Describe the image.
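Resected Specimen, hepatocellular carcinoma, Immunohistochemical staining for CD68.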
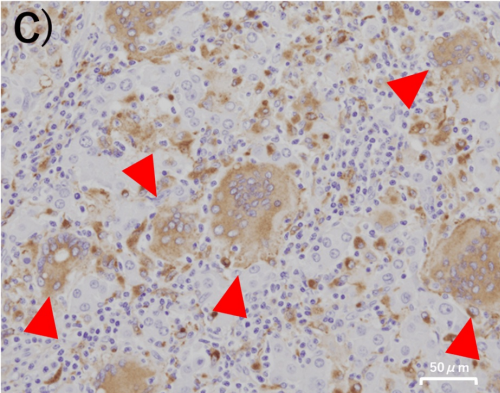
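This tumour section shows osteoclast-like giant cells stained brown among unstained tumour cells. The giant cells are large and rounded, with brown cytoplasm and many small blue nuclei packed within each. Smaller single-nucleated brown cells are scattered between them, while the surrounding cells with blue nuclei and pale cytoplasm remain unstained.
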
